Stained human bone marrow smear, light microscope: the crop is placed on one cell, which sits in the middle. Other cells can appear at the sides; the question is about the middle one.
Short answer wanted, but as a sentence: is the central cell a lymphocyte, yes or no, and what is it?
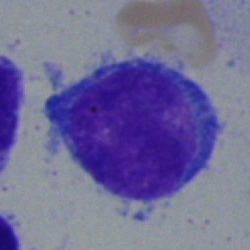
No, the cell placed in the centre is a blast and is not a lymphocyte.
